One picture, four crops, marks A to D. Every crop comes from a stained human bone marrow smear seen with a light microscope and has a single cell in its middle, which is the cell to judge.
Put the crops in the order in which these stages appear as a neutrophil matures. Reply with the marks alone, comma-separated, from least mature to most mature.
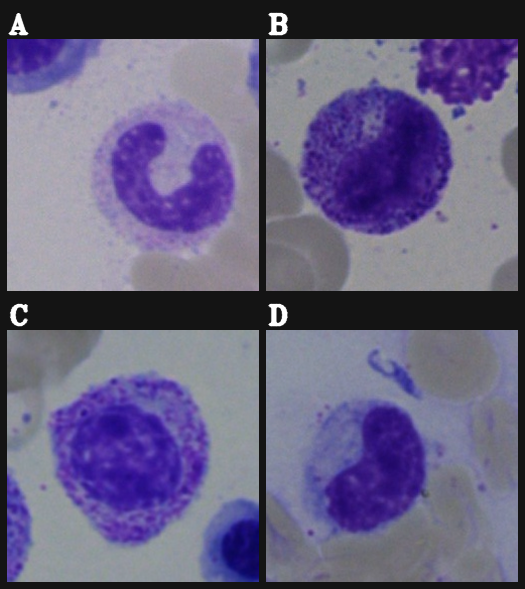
B, C, D, A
